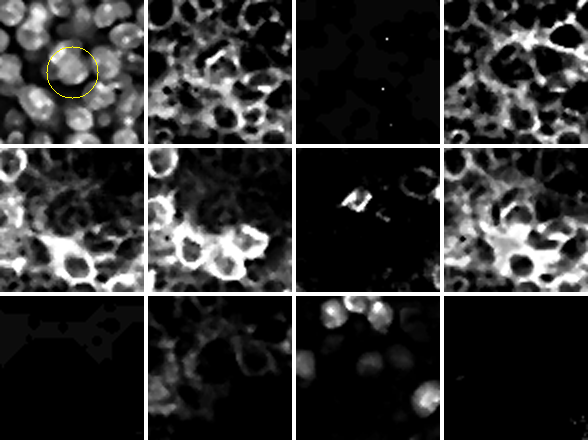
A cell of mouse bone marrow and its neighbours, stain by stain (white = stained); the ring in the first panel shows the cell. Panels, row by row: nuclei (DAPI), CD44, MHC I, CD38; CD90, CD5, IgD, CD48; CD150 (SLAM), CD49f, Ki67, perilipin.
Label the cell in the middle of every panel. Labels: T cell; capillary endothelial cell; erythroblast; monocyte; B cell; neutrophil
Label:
monocyte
